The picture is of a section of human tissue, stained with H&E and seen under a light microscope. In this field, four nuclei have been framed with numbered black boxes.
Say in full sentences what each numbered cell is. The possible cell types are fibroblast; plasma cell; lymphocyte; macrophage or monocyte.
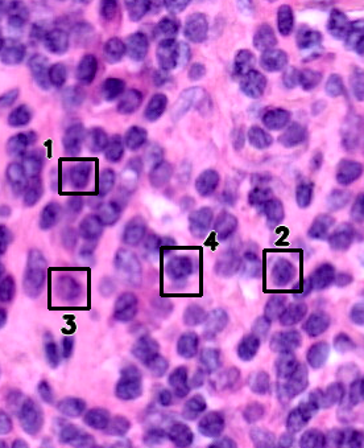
Cell 1 is a lymphocyte, cell 2 is a lymphocyte, cell 3 is a plasma cell and cell 4 is a lymphocyte.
